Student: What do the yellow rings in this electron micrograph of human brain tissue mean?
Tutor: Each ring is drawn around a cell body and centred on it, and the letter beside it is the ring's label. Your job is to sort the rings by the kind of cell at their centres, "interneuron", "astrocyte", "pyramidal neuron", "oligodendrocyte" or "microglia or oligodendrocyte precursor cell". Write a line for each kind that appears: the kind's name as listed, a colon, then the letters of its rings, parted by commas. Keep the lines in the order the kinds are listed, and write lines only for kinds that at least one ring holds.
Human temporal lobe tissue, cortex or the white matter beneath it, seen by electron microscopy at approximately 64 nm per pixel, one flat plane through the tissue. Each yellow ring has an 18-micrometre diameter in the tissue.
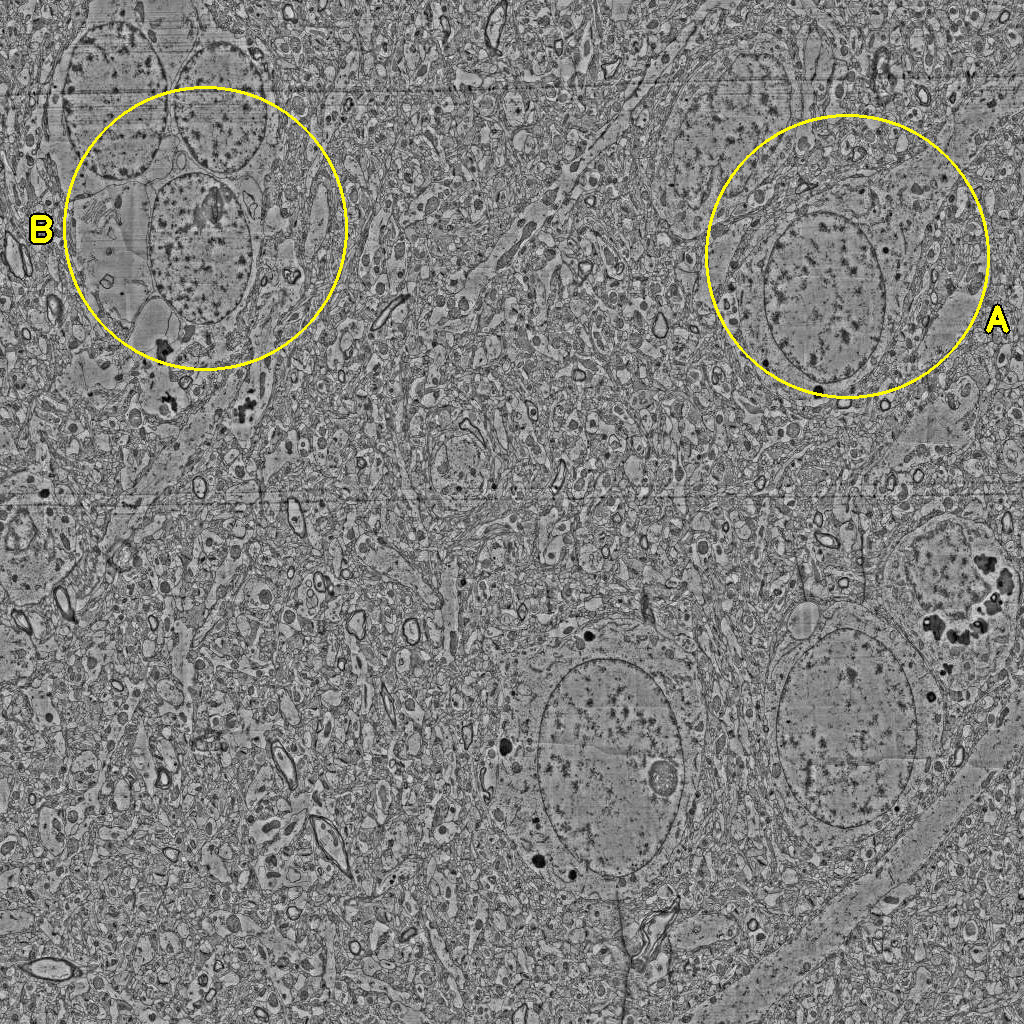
astrocyte: B
pyramidal neuron: A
